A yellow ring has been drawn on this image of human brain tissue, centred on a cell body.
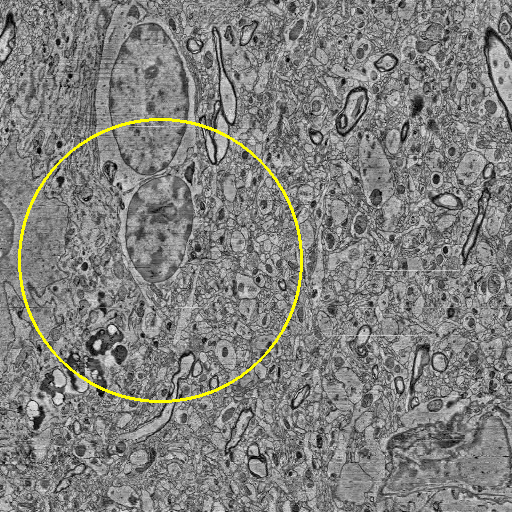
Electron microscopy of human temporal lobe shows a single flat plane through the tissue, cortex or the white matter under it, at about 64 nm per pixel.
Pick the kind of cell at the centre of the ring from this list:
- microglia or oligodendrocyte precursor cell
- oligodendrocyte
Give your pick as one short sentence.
The centre of the ring holds a microglial cell or oligodendrocyte precursor cell.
